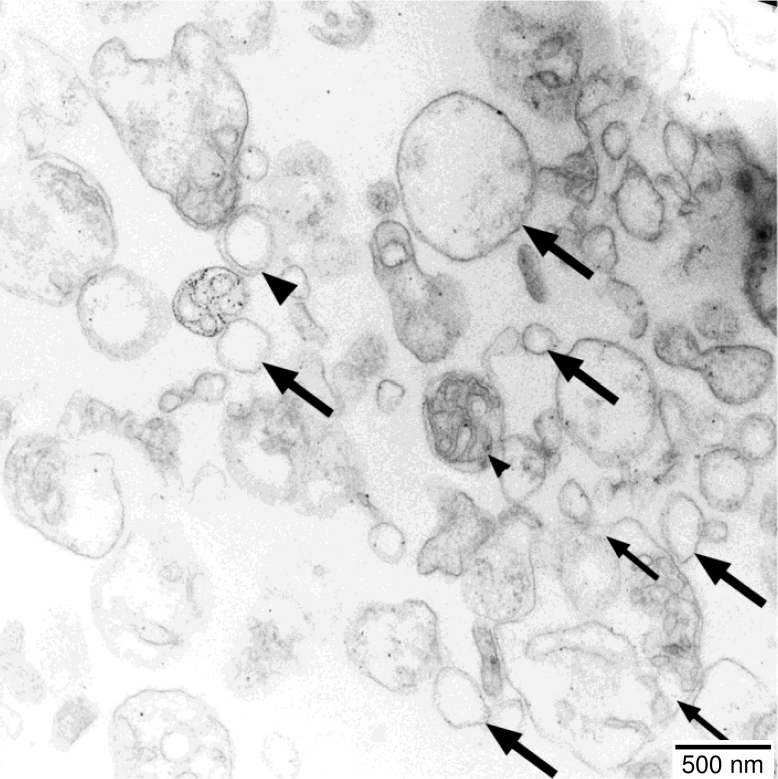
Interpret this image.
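This is a section through a pelleted membrane fraction rather than intact tissue: a crowded field of membrane-bound profiles of many sizes, from small round vesicles to large pale sacs, with no whole cells or nuclei. Many profiles are round with a single thin limiting membrane and a pale, finely granular lumen; others are irregular, collapsed or open fragments of membrane. A few denser oval bodies stand out, filled with folded internal membranes resembling cristae, consistent with intact mitochondria. Toward the right edge the material becomes denser and more amorphous.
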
